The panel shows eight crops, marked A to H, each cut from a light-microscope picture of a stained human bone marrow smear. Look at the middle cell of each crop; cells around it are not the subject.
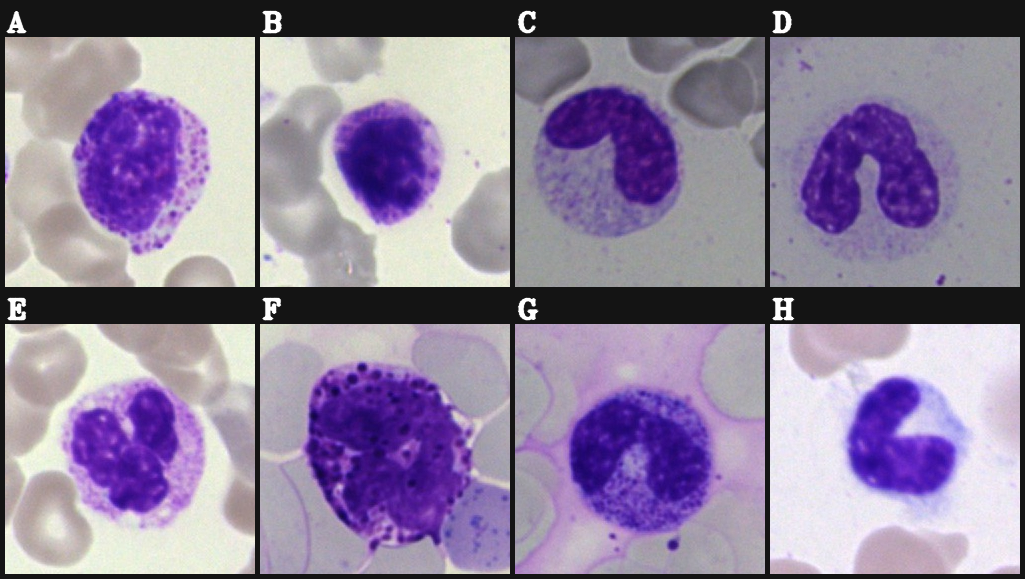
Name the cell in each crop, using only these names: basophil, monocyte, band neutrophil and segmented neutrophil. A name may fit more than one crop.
A: basophil
B: basophil
C: band neutrophil
D: band neutrophil
E: segmented neutrophil
F: basophil
G: band neutrophil
H: band neutrophil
